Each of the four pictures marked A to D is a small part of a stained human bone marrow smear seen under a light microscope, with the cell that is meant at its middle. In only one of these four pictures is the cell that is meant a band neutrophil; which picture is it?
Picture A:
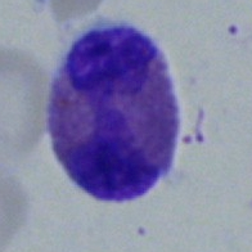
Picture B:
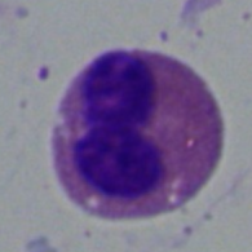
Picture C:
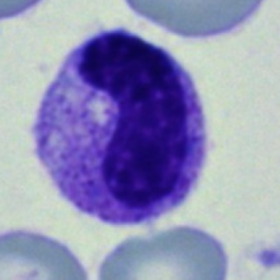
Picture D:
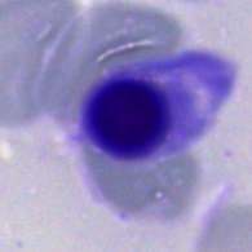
C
